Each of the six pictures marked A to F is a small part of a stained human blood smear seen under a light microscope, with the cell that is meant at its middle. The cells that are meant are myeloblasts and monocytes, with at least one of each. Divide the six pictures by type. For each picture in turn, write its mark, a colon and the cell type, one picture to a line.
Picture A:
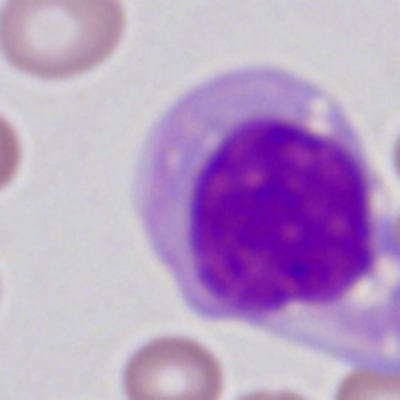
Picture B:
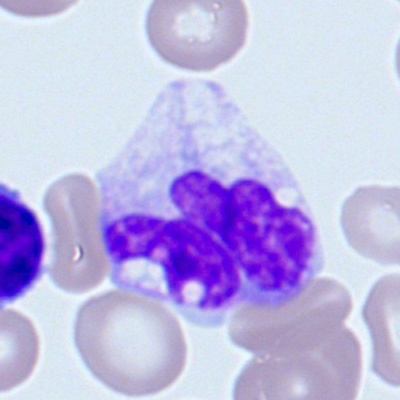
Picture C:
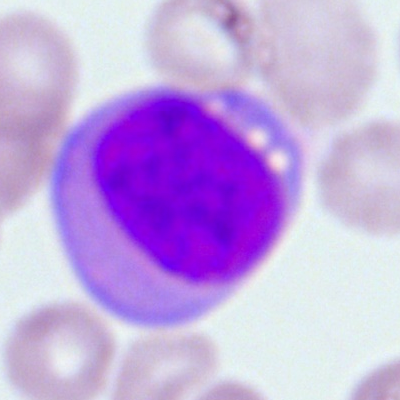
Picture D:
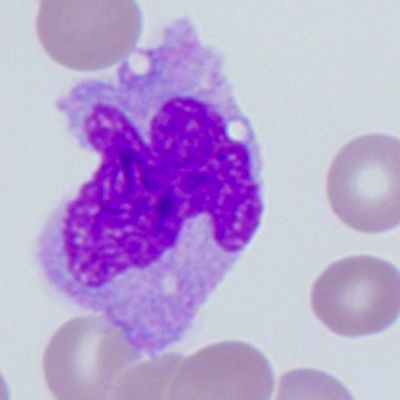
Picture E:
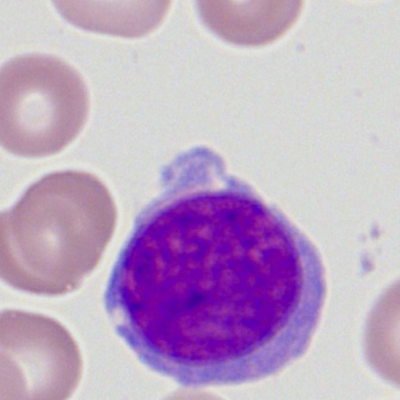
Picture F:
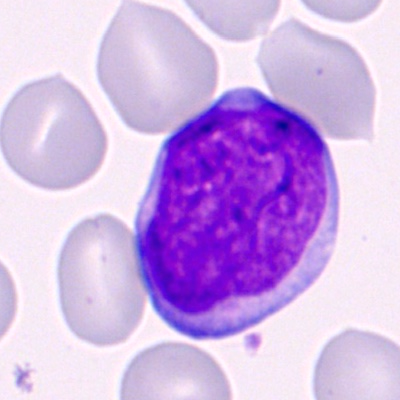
A: monocyte
B: monocyte
C: myeloblast
D: monocyte
E: myeloblast
F: myeloblast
